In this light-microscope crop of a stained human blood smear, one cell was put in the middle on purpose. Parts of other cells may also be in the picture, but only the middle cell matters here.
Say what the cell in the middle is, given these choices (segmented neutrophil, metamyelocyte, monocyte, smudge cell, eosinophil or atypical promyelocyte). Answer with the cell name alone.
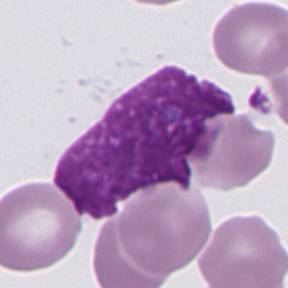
smudge cell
